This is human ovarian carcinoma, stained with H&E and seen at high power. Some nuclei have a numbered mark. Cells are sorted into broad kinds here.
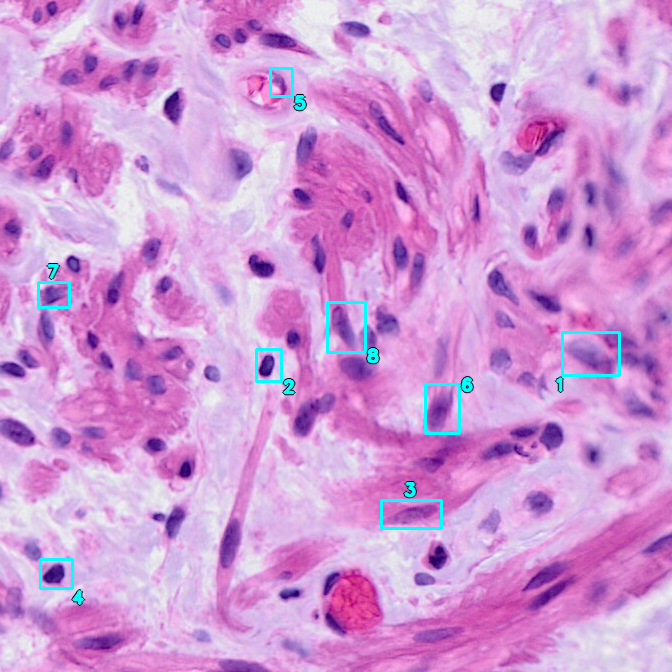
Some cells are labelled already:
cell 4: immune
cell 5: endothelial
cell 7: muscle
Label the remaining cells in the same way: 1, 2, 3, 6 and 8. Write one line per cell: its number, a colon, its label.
1: endothelial
2: immune
3: muscle
6: muscle
8: muscle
